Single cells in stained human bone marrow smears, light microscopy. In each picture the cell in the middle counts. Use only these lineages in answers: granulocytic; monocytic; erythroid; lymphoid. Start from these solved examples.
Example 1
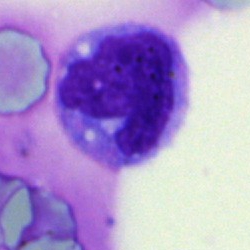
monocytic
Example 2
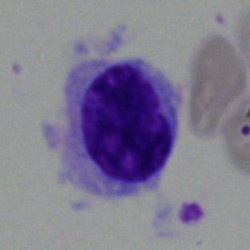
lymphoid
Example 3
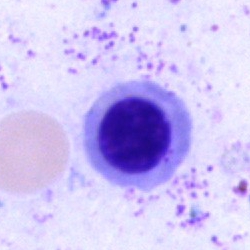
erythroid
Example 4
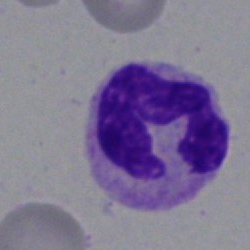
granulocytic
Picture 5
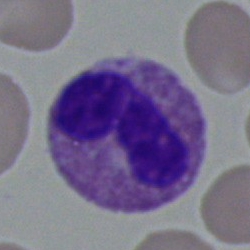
granulocytic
